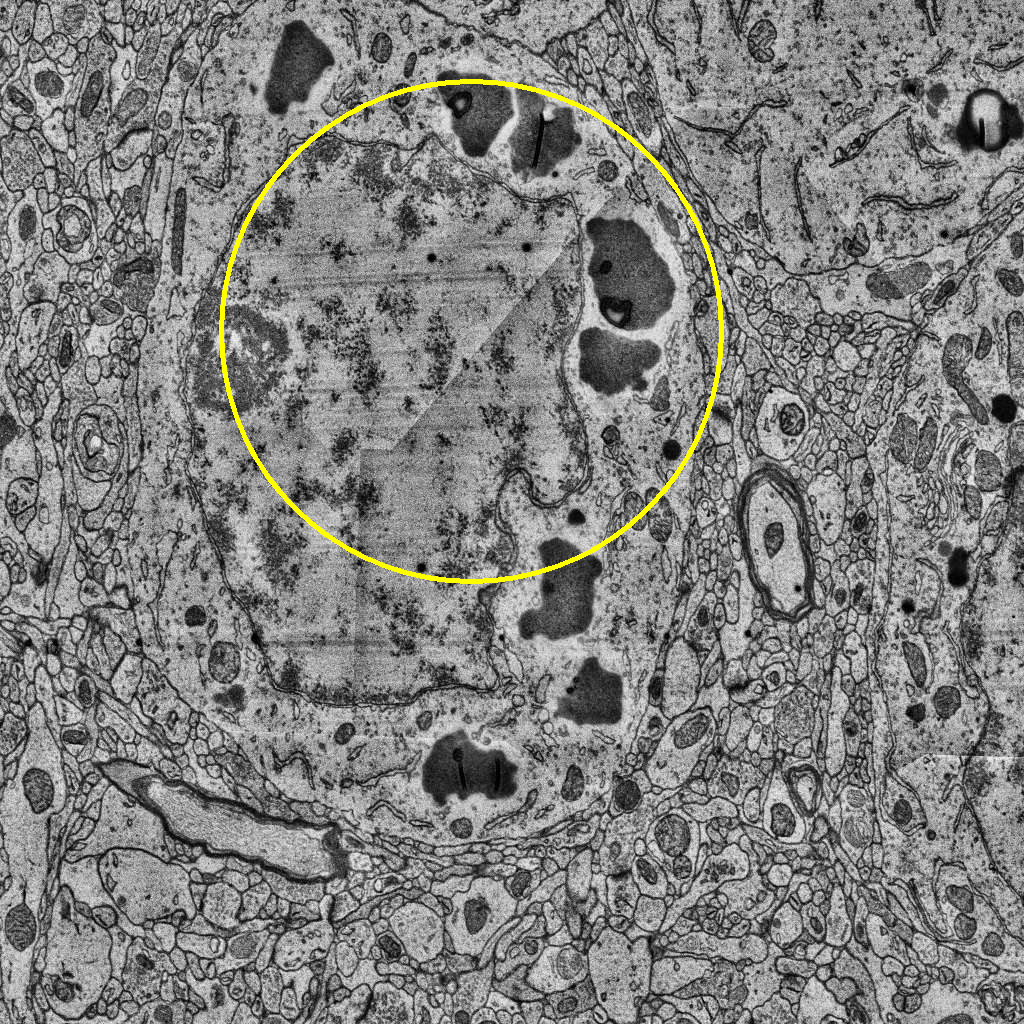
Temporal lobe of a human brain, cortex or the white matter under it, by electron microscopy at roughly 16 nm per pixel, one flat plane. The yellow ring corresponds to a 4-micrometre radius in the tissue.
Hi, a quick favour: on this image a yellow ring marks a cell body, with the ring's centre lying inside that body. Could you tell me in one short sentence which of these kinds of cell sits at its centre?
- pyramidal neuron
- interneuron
The ring's centre lies in an interneuron.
